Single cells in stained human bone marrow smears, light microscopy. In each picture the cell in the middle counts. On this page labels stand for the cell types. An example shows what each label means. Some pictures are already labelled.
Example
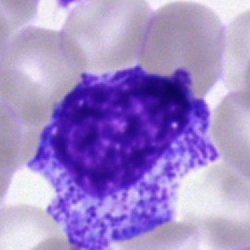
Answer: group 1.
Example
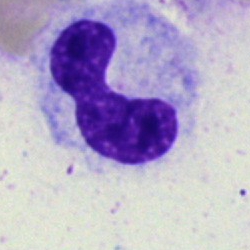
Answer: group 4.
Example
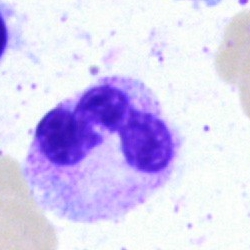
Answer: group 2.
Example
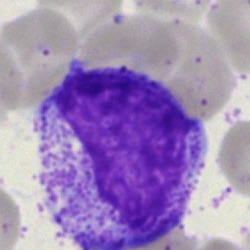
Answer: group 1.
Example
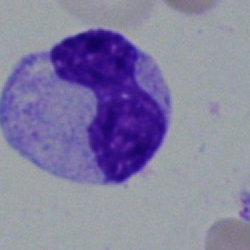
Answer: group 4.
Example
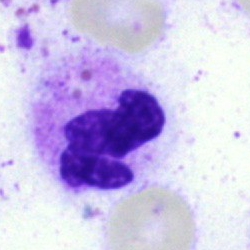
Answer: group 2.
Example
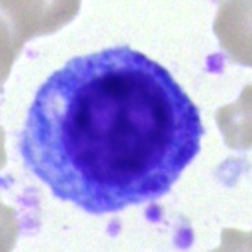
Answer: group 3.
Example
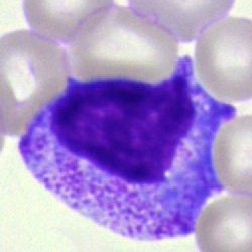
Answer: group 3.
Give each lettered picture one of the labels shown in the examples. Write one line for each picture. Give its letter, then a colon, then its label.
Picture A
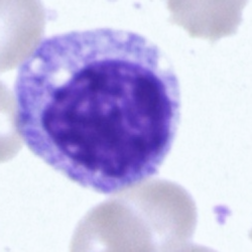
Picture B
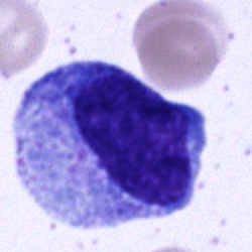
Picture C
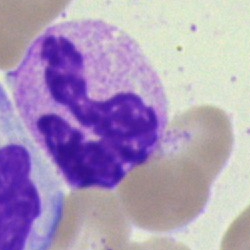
A: group 1.
B: group 3.
C: group 2.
